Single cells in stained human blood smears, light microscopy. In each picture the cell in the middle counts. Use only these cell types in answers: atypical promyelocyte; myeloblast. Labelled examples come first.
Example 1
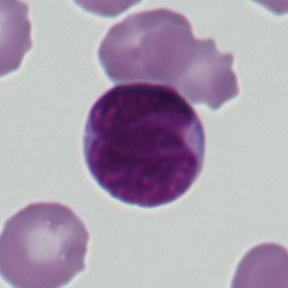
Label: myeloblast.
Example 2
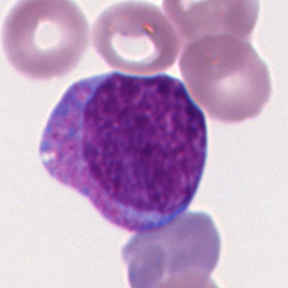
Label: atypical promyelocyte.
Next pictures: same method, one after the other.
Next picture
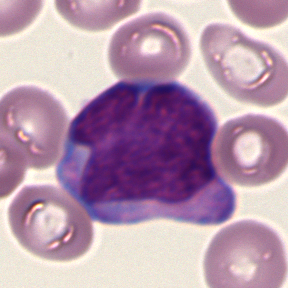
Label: atypical promyelocyte.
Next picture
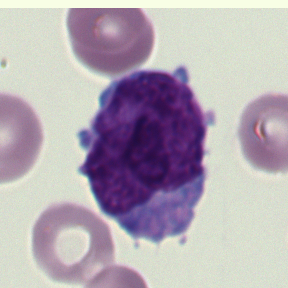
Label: atypical promyelocyte.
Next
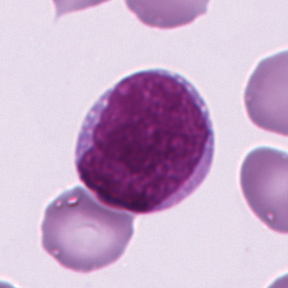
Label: myeloblast.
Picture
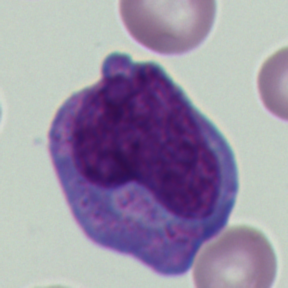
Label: atypical promyelocyte.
